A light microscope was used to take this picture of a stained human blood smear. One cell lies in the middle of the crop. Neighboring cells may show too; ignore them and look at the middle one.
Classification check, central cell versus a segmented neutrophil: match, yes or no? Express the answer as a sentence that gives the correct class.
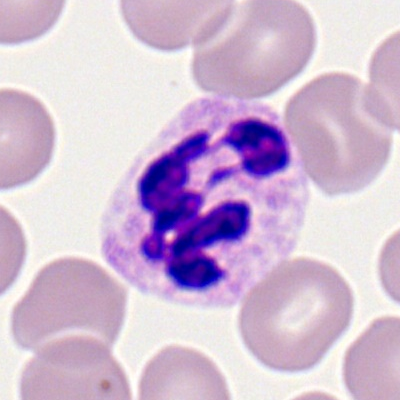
Yes, the middle of the crop is occupied by a segmented neutrophil.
